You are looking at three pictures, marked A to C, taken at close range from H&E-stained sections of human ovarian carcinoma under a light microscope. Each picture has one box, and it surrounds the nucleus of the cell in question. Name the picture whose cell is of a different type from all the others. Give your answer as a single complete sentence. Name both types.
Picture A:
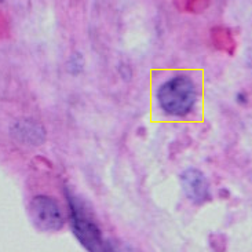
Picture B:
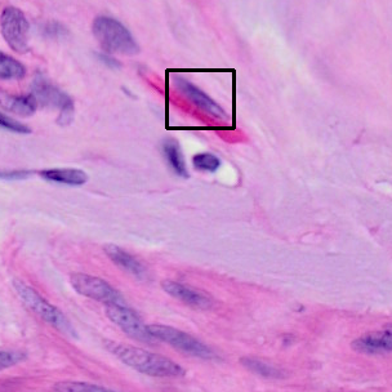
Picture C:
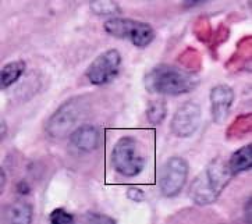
All pictures except B show “macrophages or monocytes”; picture B shows an endothelial cell.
